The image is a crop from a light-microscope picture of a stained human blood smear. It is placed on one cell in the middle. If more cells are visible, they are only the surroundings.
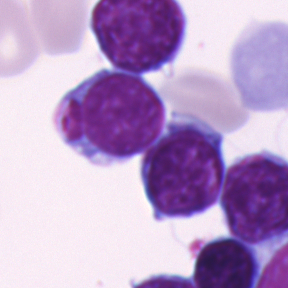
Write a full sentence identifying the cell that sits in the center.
In this smear crop, the middle cell is a myeloblast.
